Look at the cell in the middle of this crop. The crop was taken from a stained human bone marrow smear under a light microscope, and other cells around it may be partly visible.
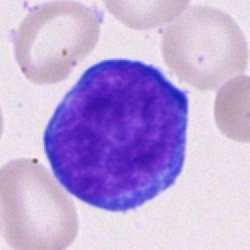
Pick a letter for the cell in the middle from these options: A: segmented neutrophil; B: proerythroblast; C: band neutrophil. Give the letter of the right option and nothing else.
B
